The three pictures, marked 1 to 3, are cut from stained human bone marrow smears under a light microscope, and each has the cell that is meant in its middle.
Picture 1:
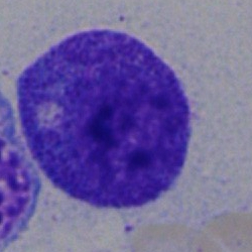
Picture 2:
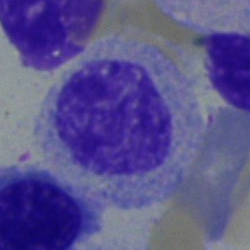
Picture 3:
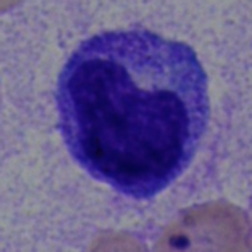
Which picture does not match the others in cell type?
1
